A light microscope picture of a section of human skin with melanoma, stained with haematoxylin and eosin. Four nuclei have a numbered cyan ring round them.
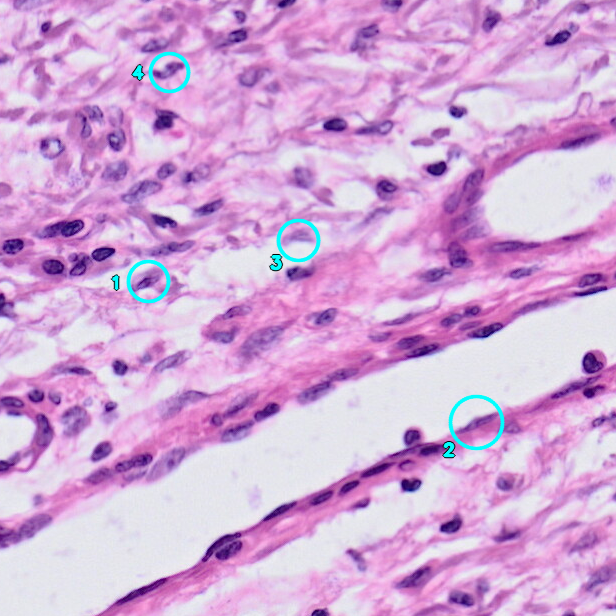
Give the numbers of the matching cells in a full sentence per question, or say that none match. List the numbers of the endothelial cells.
Only the cell at mark 2 is an endothelial cell, and no other marked cell is.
